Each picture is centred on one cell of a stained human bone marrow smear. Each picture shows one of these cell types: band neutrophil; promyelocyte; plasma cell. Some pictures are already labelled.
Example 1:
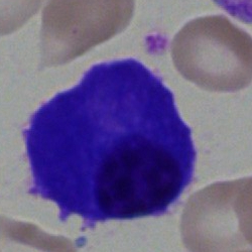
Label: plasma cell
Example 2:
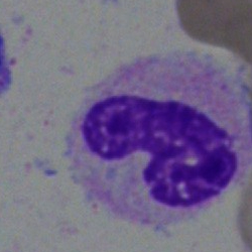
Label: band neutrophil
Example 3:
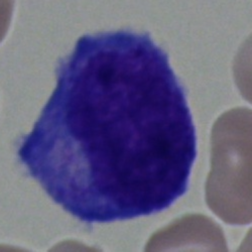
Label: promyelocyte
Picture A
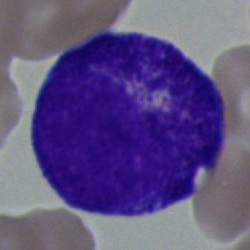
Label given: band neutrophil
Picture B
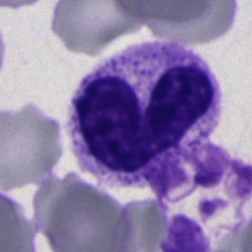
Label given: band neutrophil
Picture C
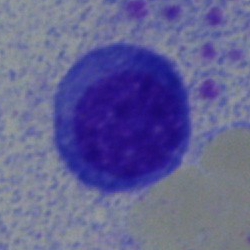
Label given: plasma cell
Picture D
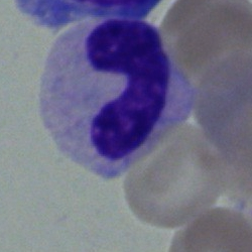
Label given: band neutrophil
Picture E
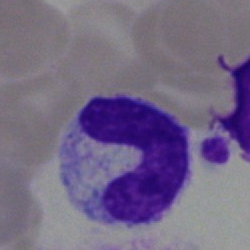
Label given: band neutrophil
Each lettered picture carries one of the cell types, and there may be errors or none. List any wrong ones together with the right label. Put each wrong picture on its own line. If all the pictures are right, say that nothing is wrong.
A: change band neutrophil to promyelocyte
